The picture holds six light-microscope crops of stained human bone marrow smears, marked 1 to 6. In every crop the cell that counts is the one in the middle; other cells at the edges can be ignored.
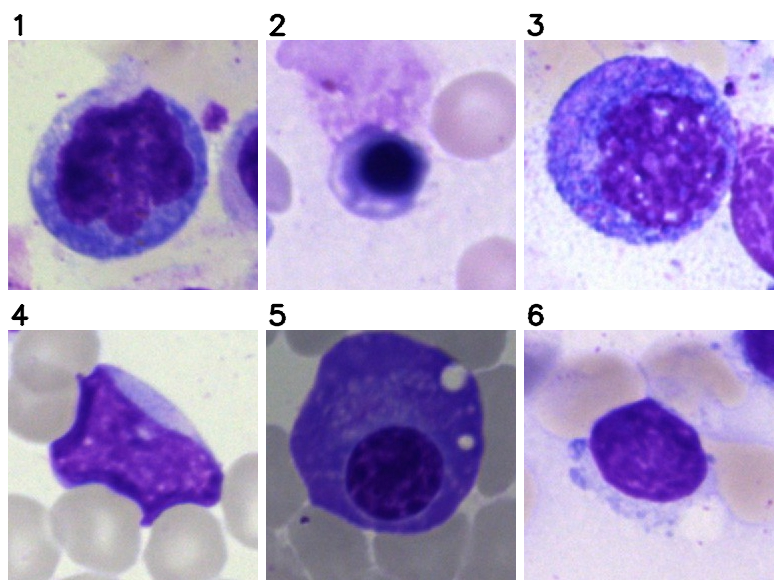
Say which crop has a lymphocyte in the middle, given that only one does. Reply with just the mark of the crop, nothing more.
6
